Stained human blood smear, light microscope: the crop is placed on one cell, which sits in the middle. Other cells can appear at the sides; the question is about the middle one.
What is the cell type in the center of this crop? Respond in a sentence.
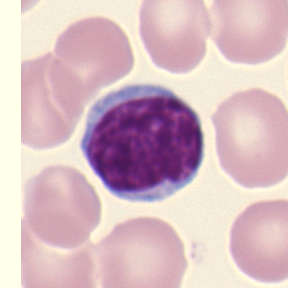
The cell of interest, located centrally, is a lymphocyte.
